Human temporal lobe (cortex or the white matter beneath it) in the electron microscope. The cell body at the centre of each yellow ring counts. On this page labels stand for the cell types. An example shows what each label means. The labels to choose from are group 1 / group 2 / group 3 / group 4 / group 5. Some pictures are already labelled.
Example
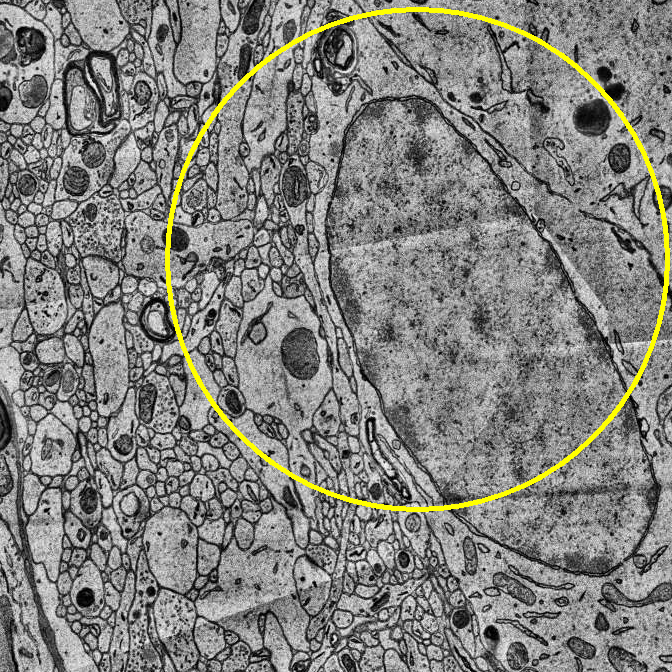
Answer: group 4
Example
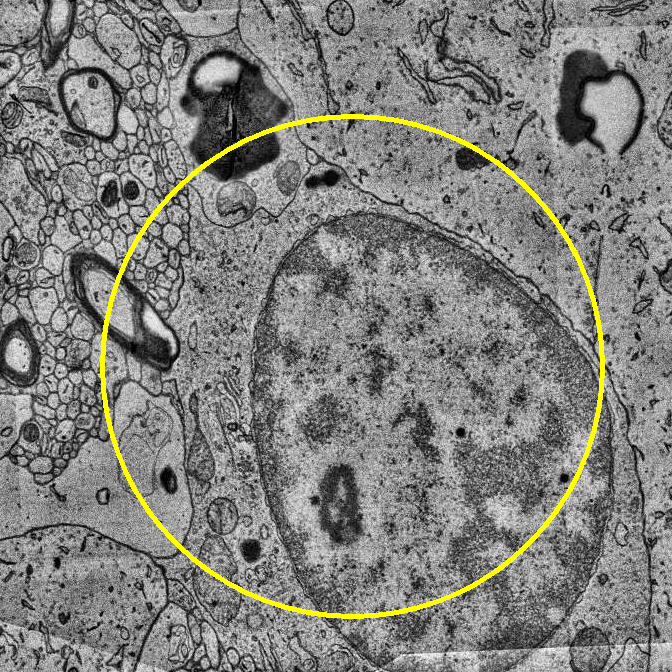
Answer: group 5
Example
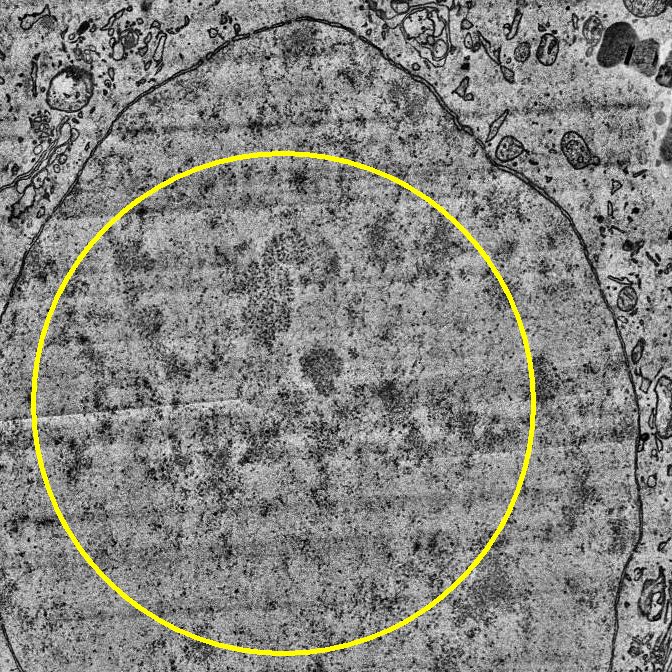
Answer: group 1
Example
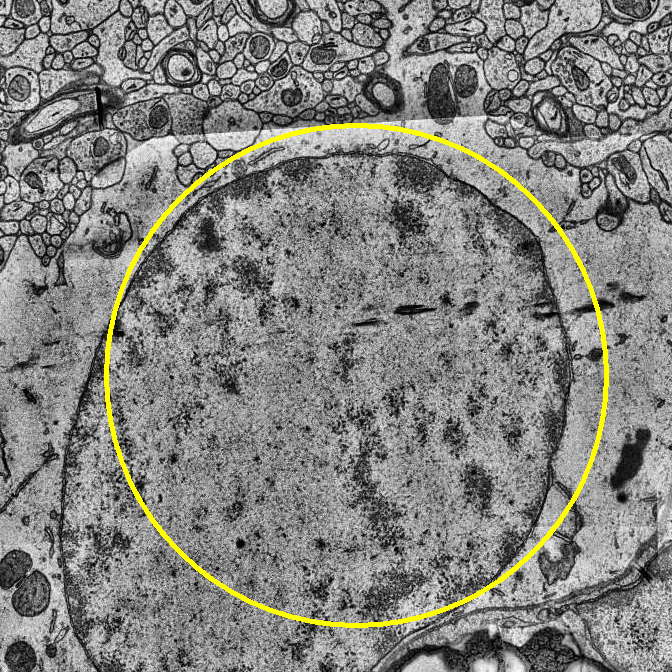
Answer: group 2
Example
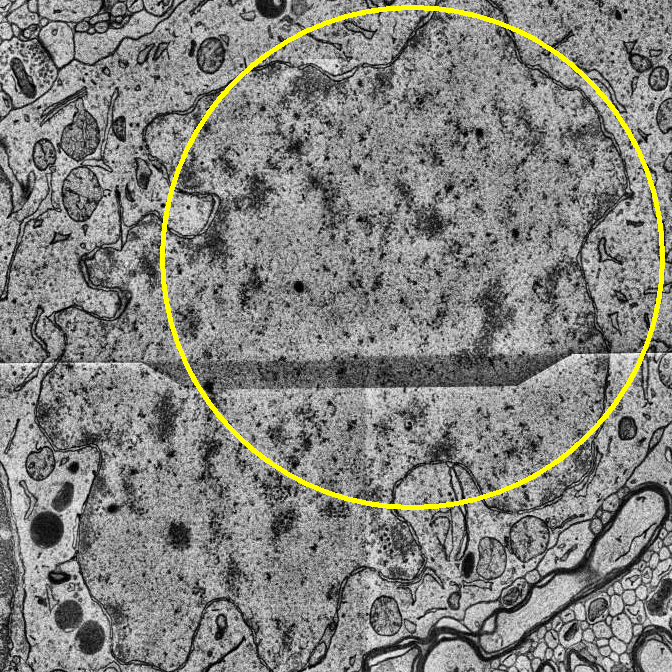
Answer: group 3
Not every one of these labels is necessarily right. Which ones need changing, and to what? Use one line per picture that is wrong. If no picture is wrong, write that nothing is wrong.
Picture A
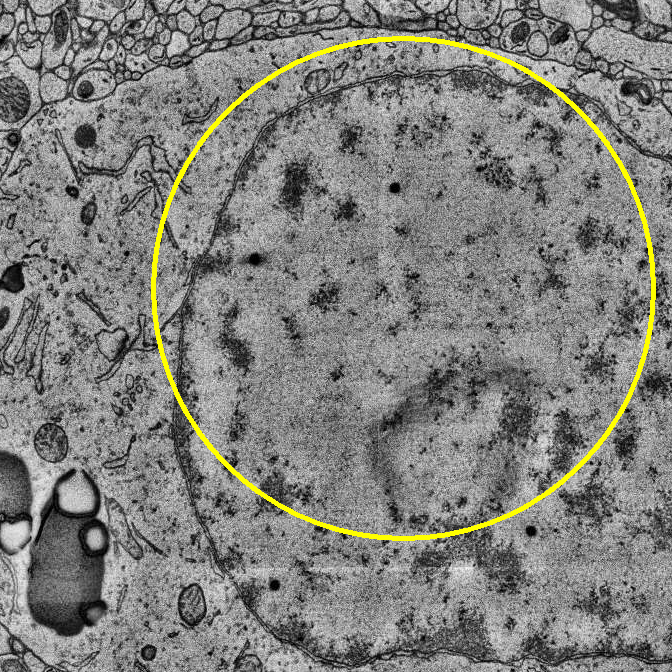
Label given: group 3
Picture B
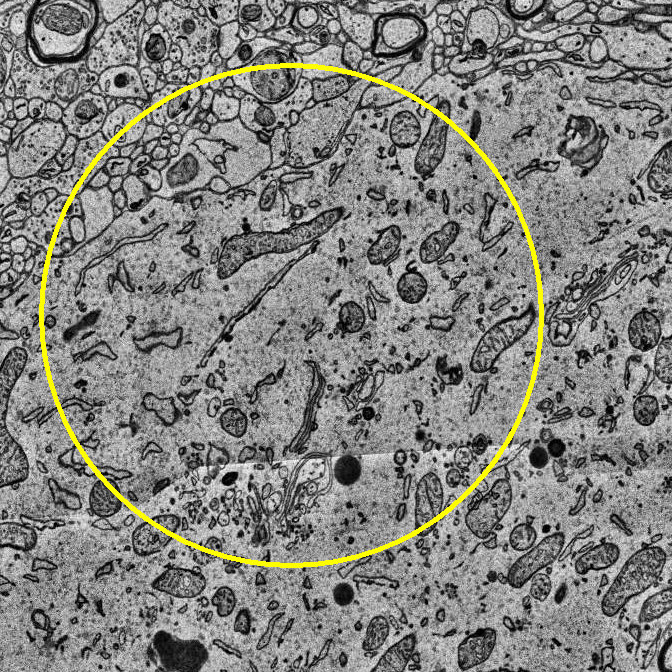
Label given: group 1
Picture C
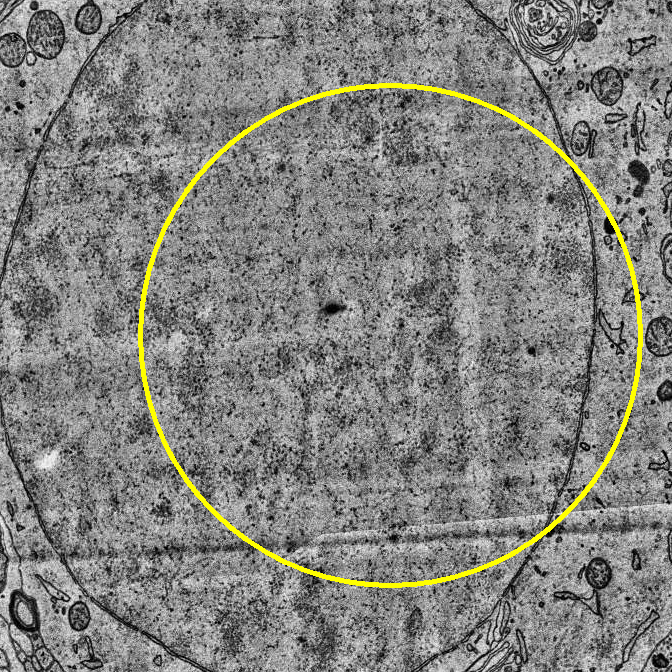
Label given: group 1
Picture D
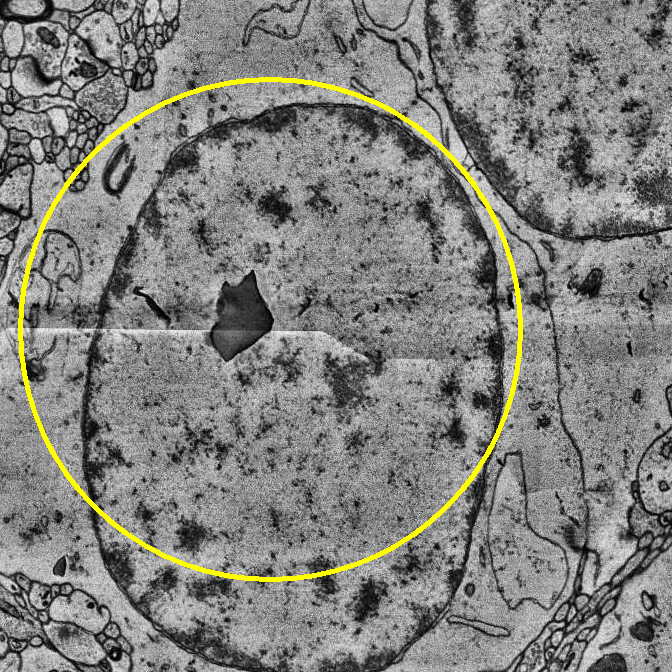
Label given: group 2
Every label is right.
